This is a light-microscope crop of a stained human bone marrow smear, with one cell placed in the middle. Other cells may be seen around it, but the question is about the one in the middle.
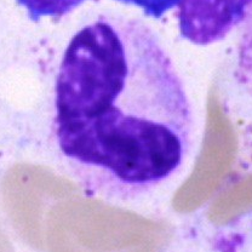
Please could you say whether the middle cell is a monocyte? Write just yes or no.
no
